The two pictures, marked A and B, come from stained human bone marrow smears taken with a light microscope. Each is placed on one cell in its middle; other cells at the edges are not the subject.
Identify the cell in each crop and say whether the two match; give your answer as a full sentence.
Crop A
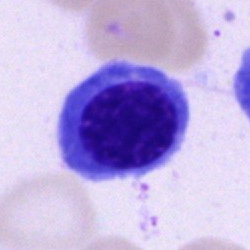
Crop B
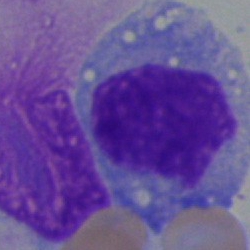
No, crop A corresponds to a normoblast, while crop B corresponds to a blast.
